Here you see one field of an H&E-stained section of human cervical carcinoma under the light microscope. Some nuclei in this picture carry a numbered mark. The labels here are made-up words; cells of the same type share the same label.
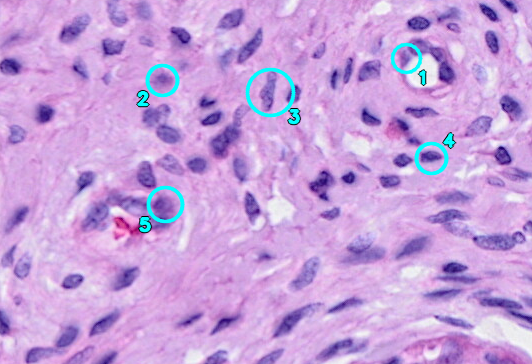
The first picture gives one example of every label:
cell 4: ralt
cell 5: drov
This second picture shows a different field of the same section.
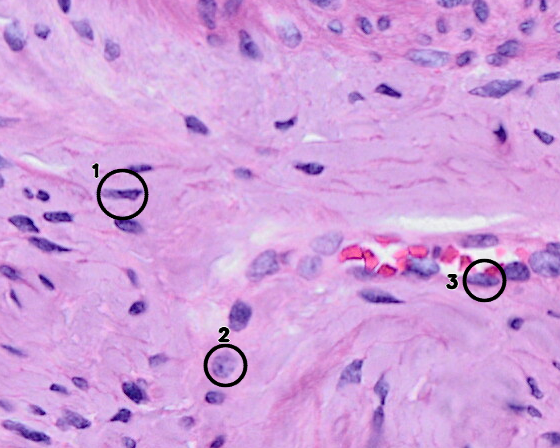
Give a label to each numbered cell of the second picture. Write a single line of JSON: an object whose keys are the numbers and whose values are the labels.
{"1": "ralt", "2": "ralt", "3": "drov"}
